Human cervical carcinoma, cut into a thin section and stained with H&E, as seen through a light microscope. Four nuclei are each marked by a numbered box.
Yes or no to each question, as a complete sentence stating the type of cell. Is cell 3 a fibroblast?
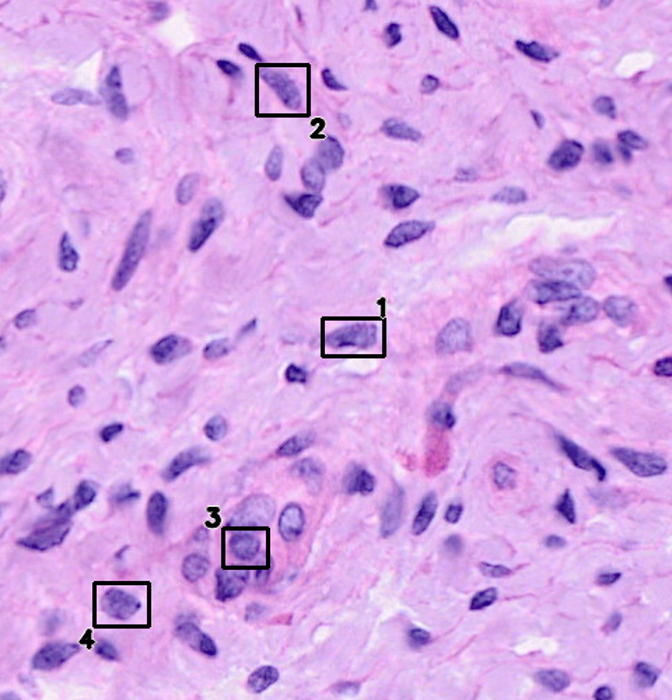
No, cell 3 is to be read as an endothelial cell, not a fibroblast.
